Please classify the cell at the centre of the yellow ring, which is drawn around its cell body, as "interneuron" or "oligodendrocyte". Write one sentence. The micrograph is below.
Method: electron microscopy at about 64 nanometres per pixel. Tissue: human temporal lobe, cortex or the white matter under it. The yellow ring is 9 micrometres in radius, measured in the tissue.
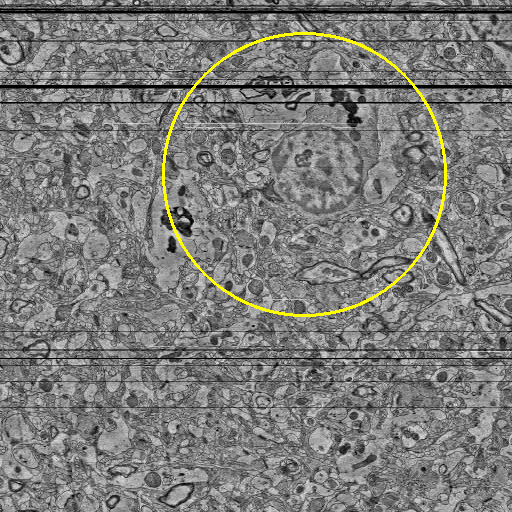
The cell at the ring's centre is classified as an oligodendrocyte.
